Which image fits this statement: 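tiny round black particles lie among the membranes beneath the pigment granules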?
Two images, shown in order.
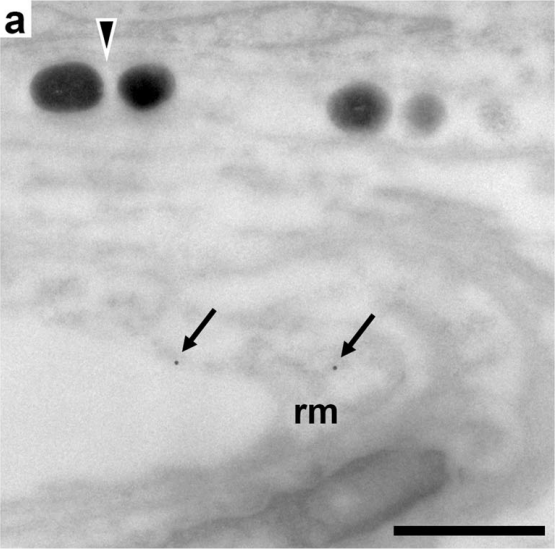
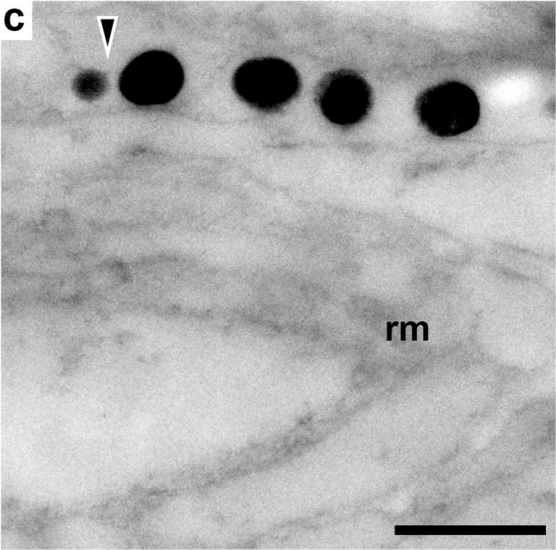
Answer: The first image.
